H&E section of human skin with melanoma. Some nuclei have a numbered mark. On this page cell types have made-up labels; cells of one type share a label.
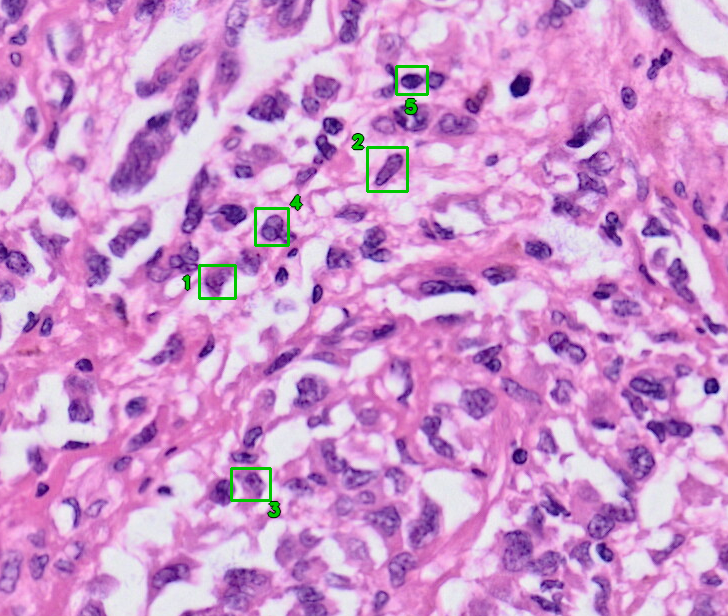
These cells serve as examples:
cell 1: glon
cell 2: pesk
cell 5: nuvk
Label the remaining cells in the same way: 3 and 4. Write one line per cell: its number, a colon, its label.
3: glon
4: pesk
